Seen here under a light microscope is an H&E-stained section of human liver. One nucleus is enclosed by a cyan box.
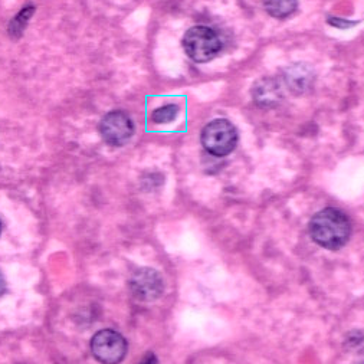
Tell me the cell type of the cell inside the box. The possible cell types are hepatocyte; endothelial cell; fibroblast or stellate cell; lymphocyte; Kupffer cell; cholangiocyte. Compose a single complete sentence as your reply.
As a matter of cell type, the cell inside the box is a lymphocyte.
